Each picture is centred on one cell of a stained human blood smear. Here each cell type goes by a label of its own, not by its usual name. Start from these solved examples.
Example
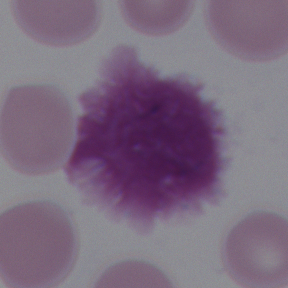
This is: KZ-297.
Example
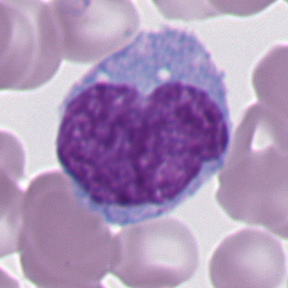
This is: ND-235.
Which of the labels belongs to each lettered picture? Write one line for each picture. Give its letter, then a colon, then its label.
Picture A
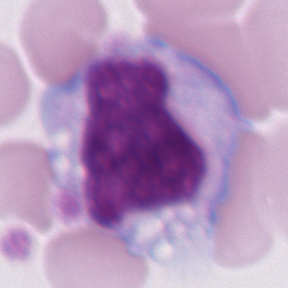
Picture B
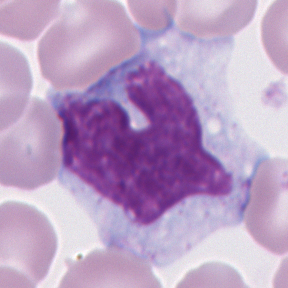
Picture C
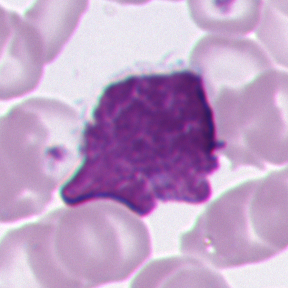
A: ND-235.
B: ND-235.
C: KZ-297.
